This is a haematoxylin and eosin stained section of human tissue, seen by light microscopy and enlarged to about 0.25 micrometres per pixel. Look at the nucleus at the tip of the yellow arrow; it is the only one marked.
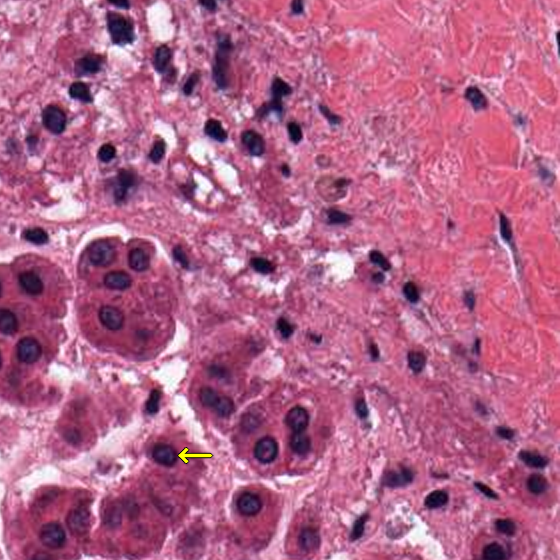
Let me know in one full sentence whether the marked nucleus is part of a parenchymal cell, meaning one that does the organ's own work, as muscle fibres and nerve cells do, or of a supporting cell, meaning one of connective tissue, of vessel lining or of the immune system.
The nucleus marked here belongs to a parenchymal cell, namely an adrenal cortical cell.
